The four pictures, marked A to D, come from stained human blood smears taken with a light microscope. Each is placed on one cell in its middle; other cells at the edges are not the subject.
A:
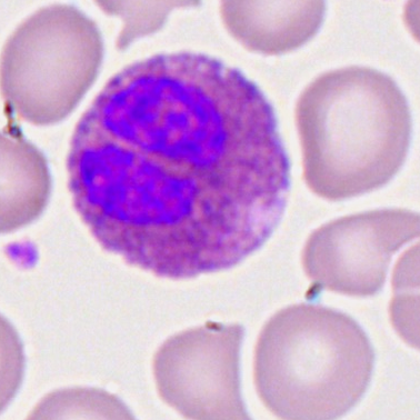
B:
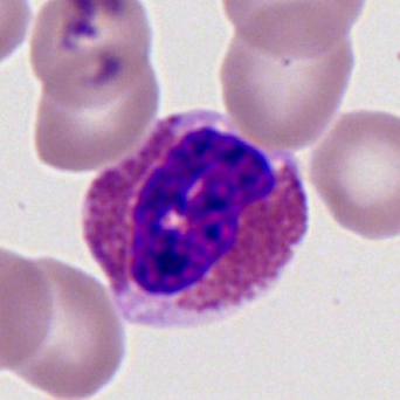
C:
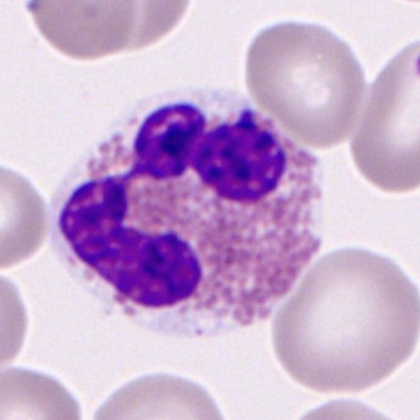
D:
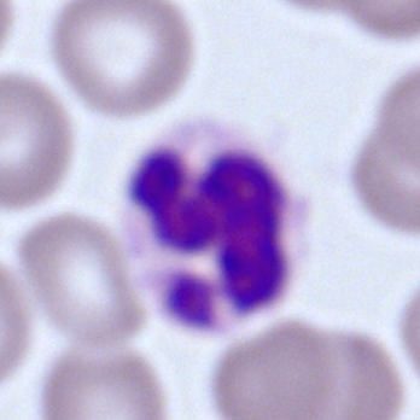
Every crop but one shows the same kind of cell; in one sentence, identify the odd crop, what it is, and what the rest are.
With the other crops all showing eosinophils, crop D differs by showing a segmented neutrophil.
